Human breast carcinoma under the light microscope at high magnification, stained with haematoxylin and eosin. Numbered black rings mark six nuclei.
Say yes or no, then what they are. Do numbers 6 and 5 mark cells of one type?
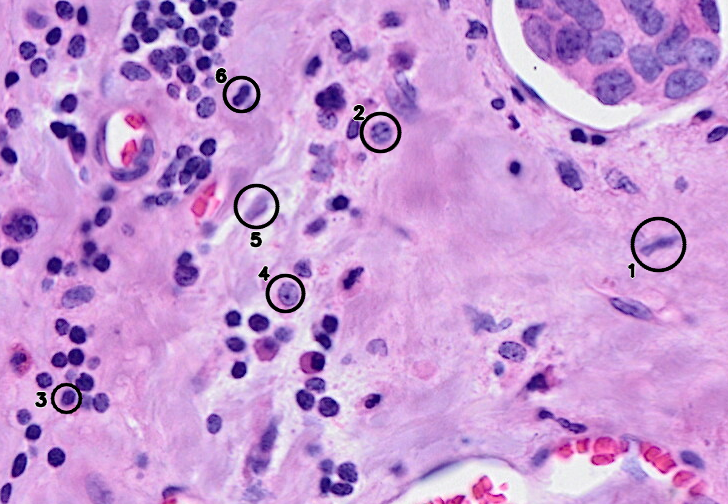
No, cell 6 is a lymphocyte and cell 5 is a fibroblast.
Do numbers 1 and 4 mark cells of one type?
No, cell 1 is a fibroblast and cell 4 is a mast cell.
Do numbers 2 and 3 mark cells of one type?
No, cell 2 is a mast cell and cell 3 is a lymphocyte.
